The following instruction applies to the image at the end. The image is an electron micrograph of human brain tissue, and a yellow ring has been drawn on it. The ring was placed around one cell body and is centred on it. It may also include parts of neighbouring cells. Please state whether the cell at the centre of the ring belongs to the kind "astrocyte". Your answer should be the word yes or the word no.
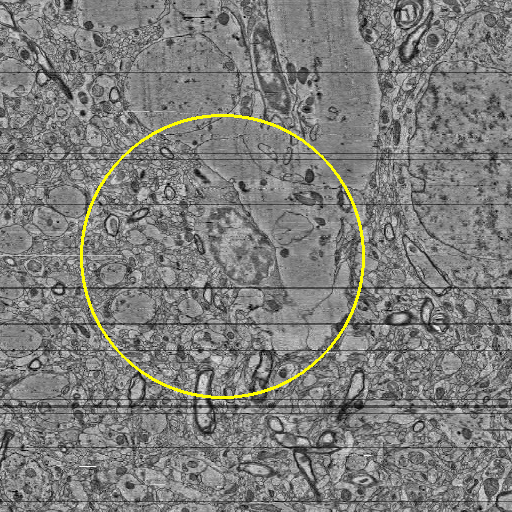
no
